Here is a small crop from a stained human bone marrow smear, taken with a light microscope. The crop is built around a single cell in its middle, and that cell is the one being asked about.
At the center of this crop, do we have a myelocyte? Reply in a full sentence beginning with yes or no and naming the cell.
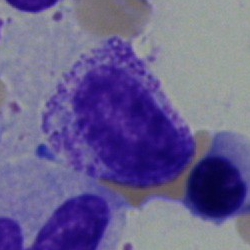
Yes, this is a myelocyte, the cell in the middle of the crop.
